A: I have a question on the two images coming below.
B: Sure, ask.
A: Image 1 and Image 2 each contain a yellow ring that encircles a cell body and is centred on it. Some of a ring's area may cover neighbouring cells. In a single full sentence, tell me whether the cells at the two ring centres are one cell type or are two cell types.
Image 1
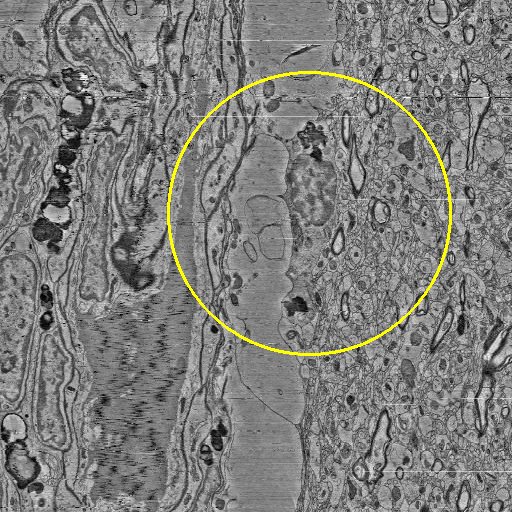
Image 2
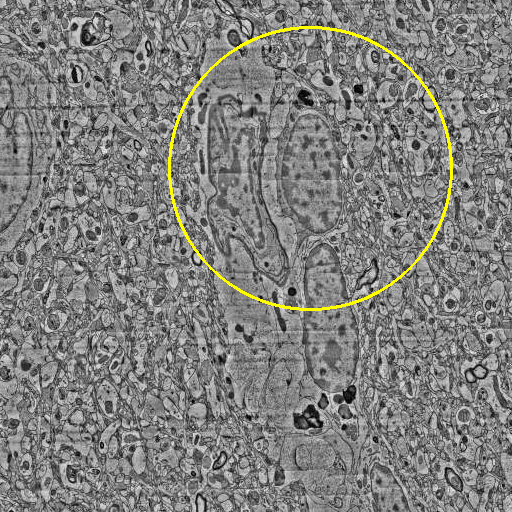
As for the ring-centre cells, the one in Image 1 and the one in Image 2 are one cell type.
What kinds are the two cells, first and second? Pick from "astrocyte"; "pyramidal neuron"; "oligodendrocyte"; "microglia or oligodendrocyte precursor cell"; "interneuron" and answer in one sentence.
Both rings mark an oligodendrocyte, one in each picture.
